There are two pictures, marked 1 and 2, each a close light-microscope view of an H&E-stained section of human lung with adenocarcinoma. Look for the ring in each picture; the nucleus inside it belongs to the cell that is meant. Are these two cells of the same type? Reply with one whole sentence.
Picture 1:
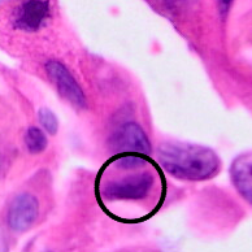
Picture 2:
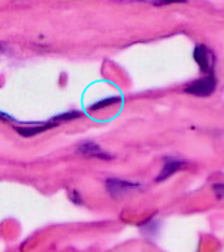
No; the cell in picture 1 is a carcinoma cell, while the one in picture 2 is an endothelial cell.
